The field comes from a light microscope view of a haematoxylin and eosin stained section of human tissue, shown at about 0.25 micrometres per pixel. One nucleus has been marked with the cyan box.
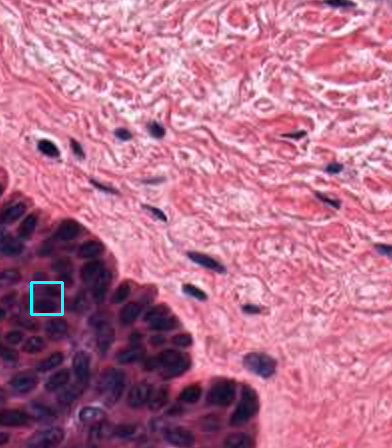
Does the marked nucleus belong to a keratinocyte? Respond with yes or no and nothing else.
yes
